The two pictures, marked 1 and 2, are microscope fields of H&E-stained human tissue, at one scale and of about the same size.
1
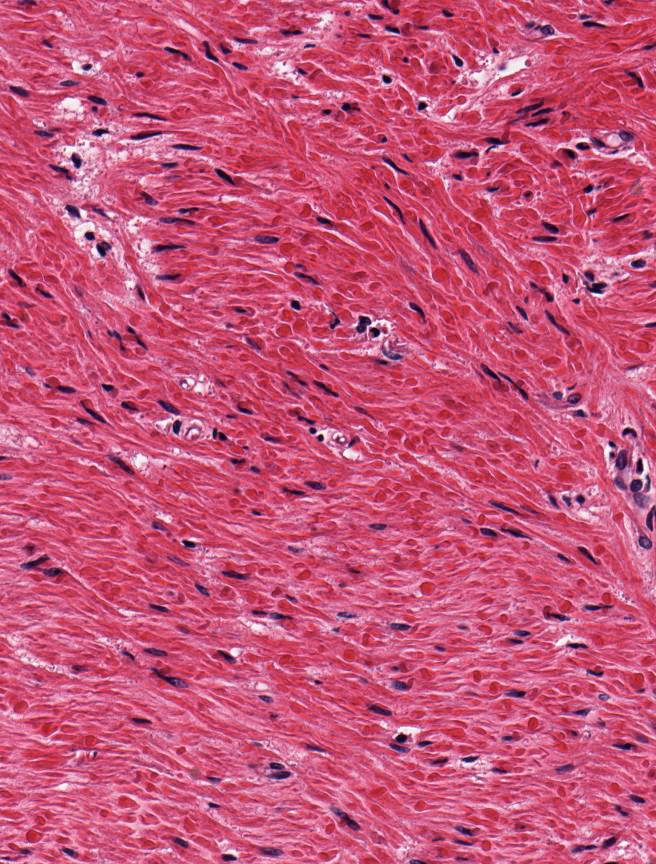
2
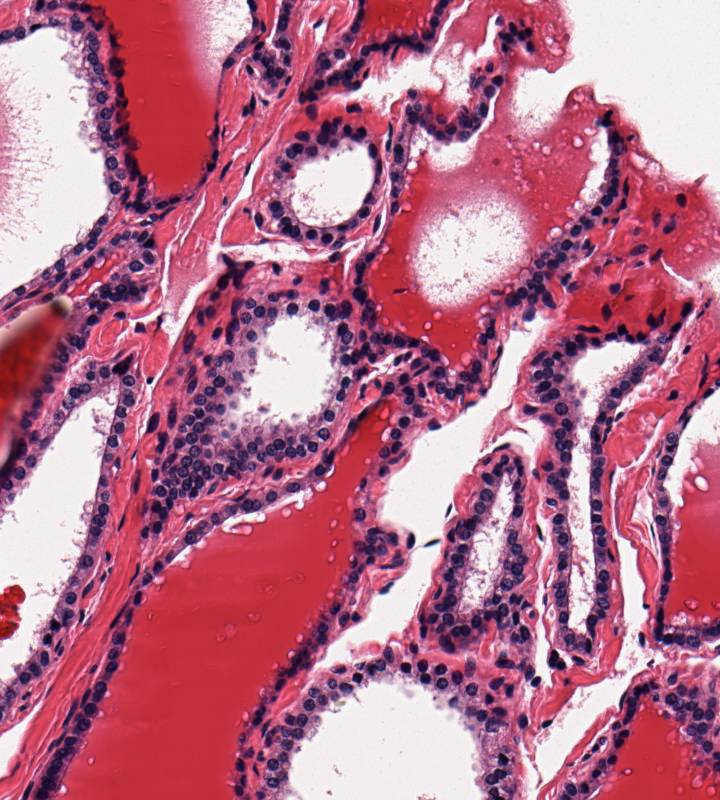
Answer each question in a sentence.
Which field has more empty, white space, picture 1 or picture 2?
Picture 2 has more white space.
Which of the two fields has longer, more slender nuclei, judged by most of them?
Longer, more slender nuclei lie in picture 1.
